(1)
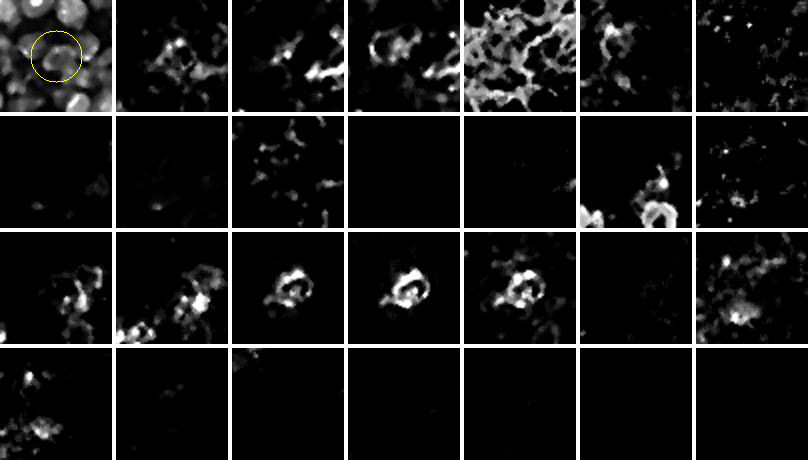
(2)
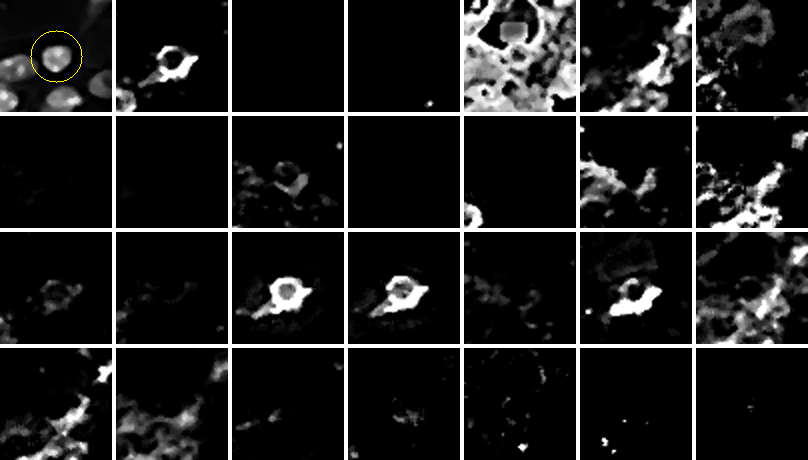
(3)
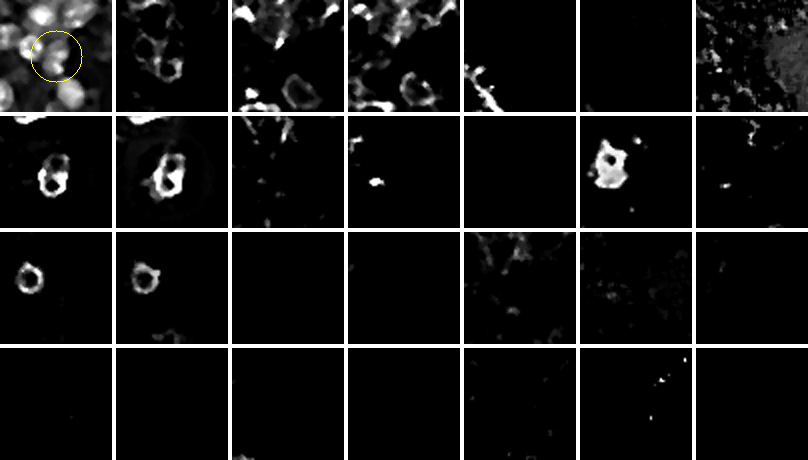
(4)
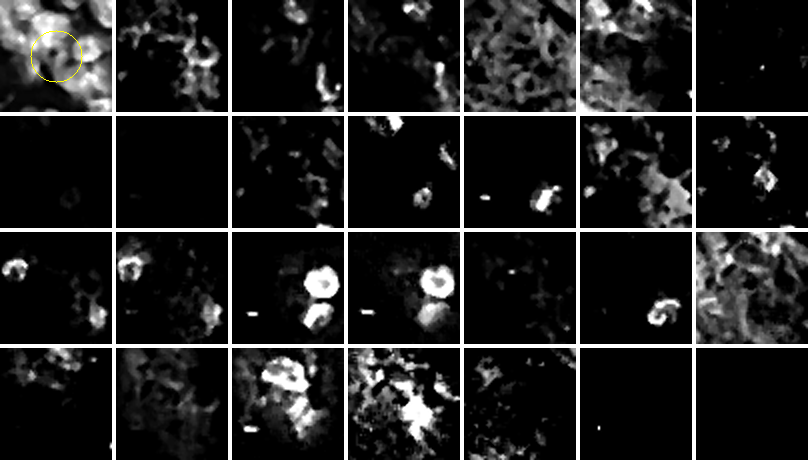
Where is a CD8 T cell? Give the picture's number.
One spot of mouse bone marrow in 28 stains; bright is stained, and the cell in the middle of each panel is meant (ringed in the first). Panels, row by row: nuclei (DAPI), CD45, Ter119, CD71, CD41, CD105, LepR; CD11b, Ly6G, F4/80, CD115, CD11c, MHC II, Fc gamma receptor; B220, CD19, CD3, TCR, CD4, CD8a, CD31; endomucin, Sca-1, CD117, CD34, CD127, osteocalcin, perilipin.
2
